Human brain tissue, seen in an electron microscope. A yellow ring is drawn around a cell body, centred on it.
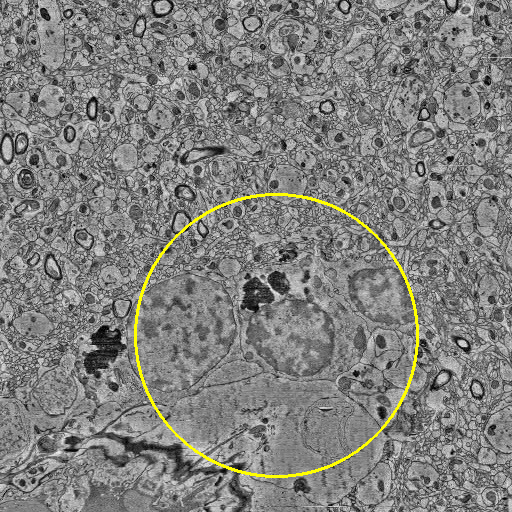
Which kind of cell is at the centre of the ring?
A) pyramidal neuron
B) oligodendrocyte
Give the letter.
B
